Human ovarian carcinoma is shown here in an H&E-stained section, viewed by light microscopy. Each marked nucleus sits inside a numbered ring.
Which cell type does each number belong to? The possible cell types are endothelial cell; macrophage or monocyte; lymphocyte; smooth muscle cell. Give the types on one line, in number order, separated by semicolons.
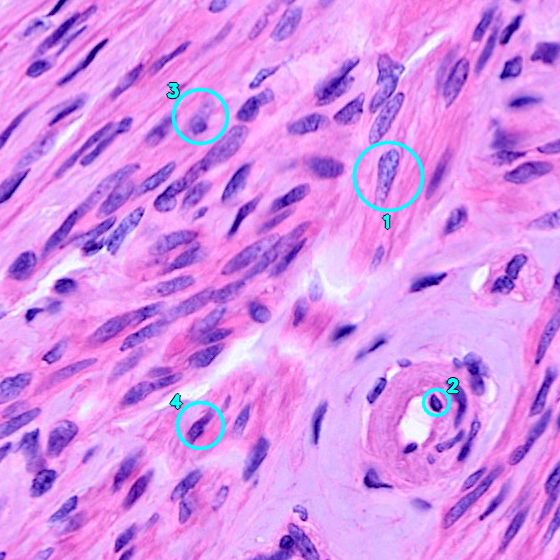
smooth muscle cell; endothelial cell; smooth muscle cell; smooth muscle cell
